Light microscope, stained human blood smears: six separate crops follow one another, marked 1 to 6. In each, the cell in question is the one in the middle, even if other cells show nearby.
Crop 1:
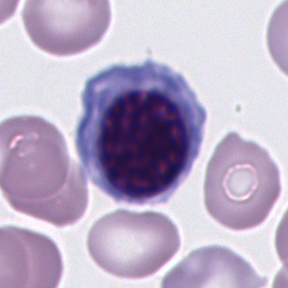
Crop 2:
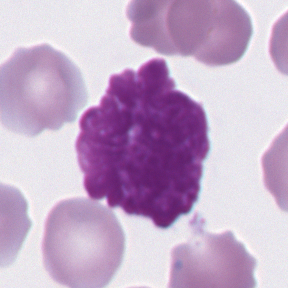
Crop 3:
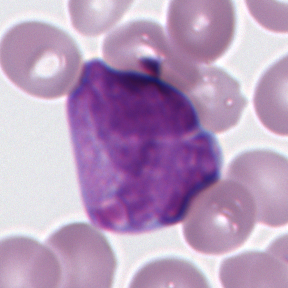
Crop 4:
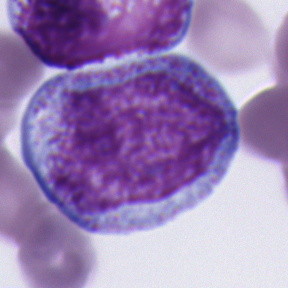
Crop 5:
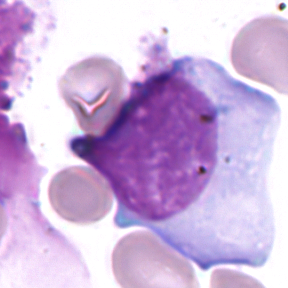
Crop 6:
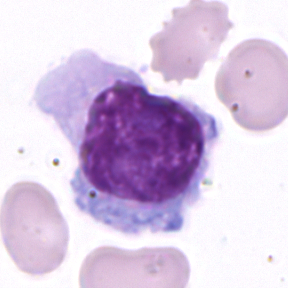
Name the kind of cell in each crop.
1: erythroblast
2: smudge cell
3: atypical promyelocyte
4: promyelocyte
5: plasma cell
6: plasma cell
